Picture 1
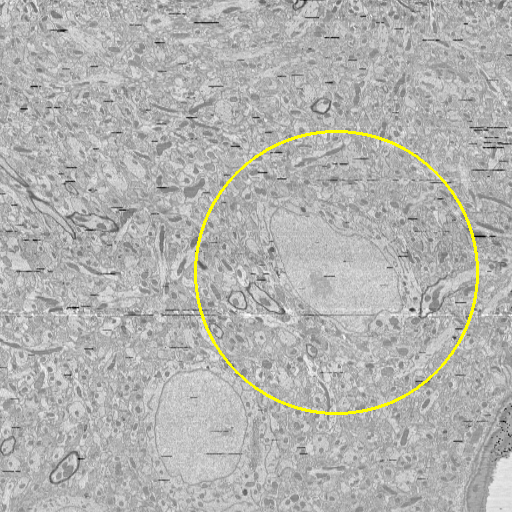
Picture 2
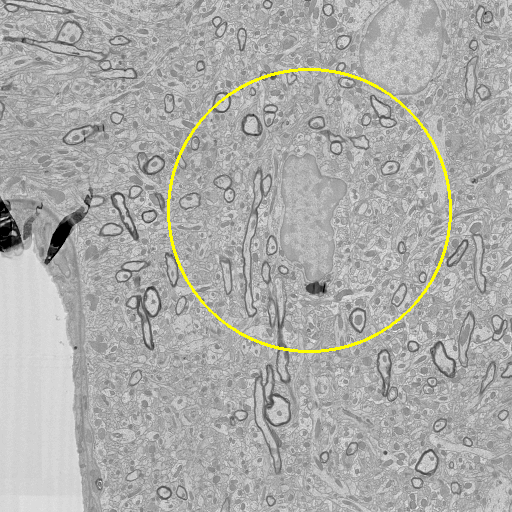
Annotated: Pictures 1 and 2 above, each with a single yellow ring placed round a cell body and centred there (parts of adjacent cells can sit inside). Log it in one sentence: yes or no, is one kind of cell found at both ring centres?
No, the ring centres of the two pictures hold cells of two kinds.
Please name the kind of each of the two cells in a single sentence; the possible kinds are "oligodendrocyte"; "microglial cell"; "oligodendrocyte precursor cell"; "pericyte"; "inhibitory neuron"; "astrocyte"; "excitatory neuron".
In the first picture the ring is centred on an excitatory neuron, and in the second on a microglial cell.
